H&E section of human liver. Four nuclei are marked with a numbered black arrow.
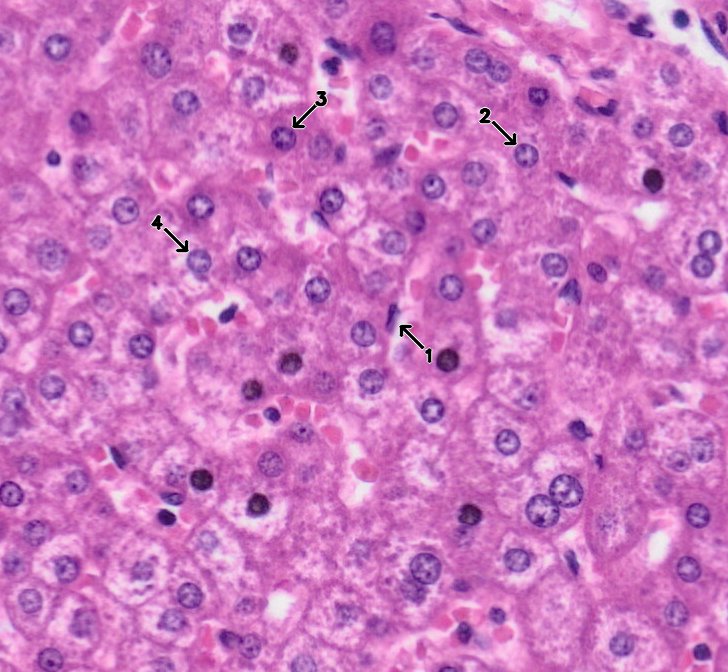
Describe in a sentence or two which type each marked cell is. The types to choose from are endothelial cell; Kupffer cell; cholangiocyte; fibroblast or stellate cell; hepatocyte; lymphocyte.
Cell 1 is an endothelial cell. Cells 2, 3 and 4 are hepatocytes.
